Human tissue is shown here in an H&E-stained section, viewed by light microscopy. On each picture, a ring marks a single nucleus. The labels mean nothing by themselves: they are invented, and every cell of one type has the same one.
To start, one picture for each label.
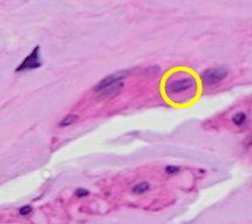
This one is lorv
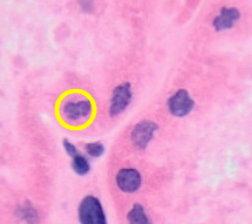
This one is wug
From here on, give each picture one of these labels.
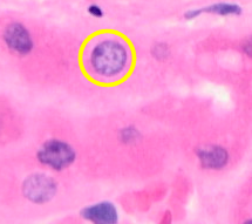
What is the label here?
wug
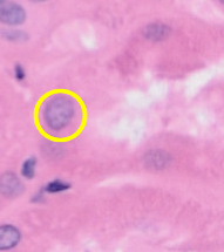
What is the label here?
wug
